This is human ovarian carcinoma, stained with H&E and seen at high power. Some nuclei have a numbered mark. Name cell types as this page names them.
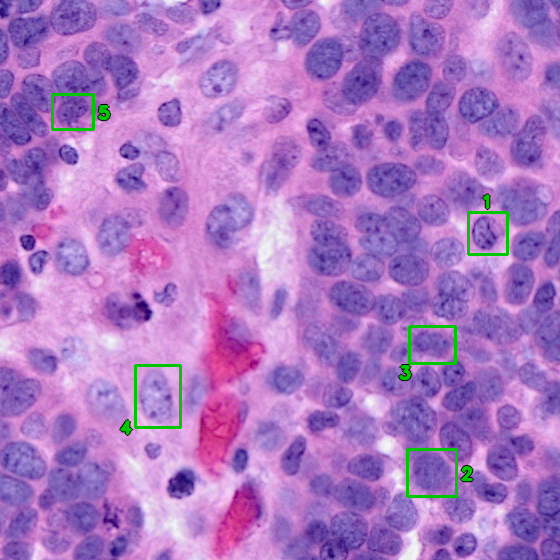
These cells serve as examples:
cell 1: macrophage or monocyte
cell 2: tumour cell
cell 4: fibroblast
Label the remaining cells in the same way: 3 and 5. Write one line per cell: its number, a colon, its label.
3: tumour cell
5: tumour cell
